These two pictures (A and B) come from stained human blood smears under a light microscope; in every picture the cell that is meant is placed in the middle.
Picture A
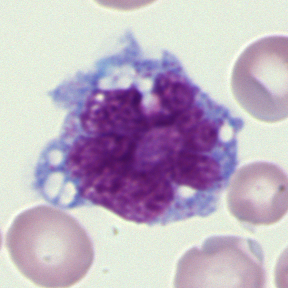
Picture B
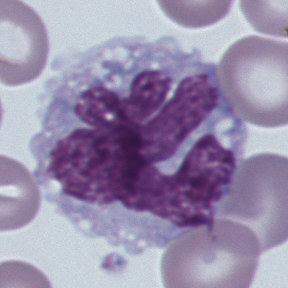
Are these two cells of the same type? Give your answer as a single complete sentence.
Yes, the two pictures both show monocytes.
